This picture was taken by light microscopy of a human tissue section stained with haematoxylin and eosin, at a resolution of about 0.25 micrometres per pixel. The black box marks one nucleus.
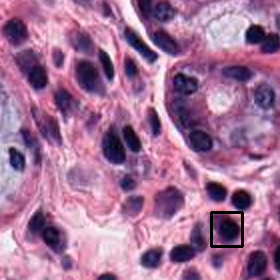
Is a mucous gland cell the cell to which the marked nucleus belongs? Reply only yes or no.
no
